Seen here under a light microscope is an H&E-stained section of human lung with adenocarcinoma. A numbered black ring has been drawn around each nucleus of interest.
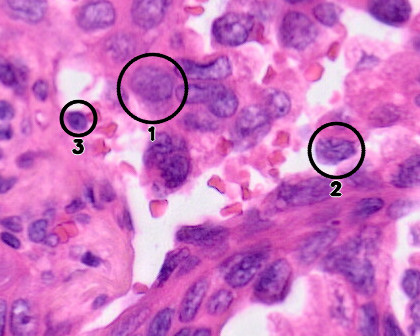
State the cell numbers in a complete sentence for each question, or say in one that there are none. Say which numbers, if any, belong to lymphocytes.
Cell 3 is the only numbered cell that is a lymphocyte.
